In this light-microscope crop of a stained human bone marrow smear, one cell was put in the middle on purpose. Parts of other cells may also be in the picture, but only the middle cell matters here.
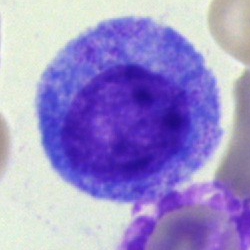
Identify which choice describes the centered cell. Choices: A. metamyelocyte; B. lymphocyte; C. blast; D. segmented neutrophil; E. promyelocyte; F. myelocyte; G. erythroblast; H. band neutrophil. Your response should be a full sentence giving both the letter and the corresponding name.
The correct response is option E, naming the cell in the middle as a promyelocyte.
